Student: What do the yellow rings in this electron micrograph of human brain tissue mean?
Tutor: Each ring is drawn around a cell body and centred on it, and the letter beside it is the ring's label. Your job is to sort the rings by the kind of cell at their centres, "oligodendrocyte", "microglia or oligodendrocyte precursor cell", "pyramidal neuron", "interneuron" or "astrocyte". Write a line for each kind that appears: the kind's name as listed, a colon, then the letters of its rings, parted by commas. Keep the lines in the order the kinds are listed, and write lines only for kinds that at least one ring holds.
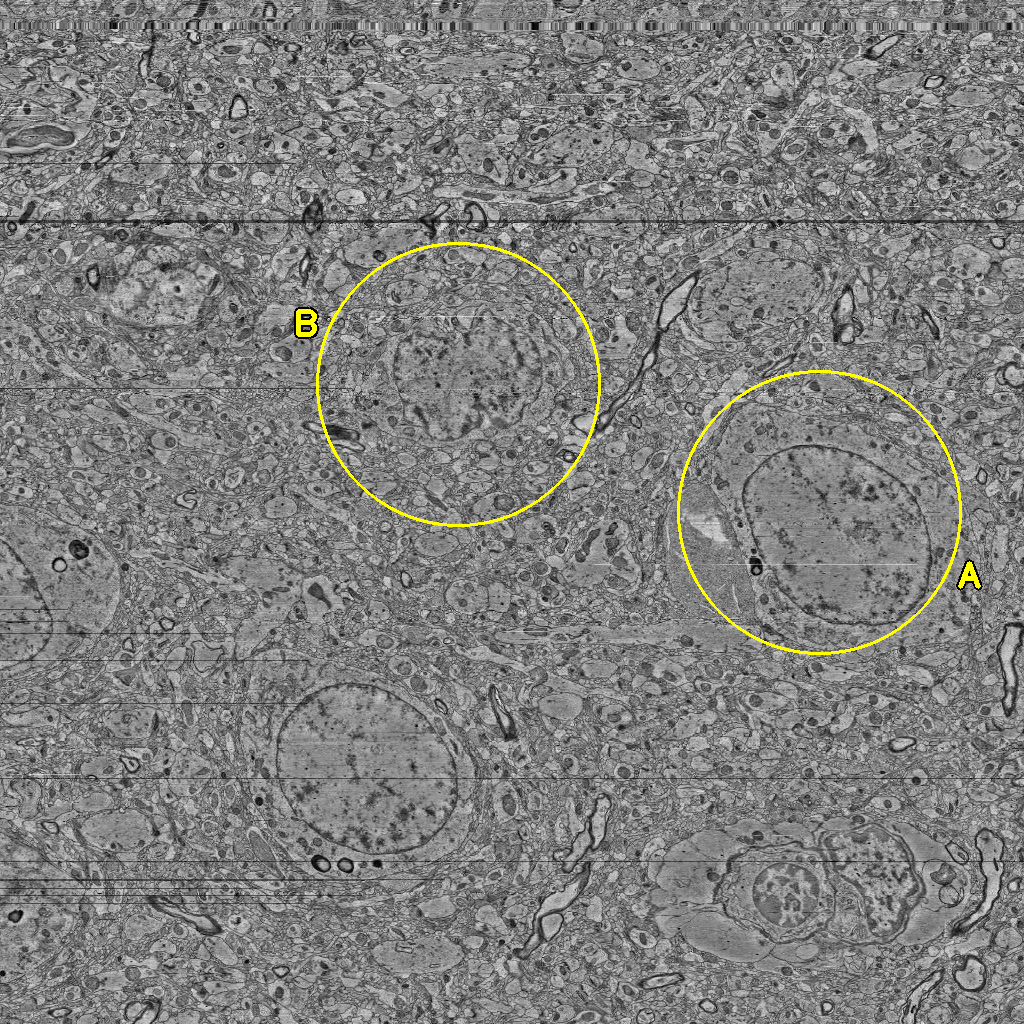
pyramidal neuron: A
interneuron: B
